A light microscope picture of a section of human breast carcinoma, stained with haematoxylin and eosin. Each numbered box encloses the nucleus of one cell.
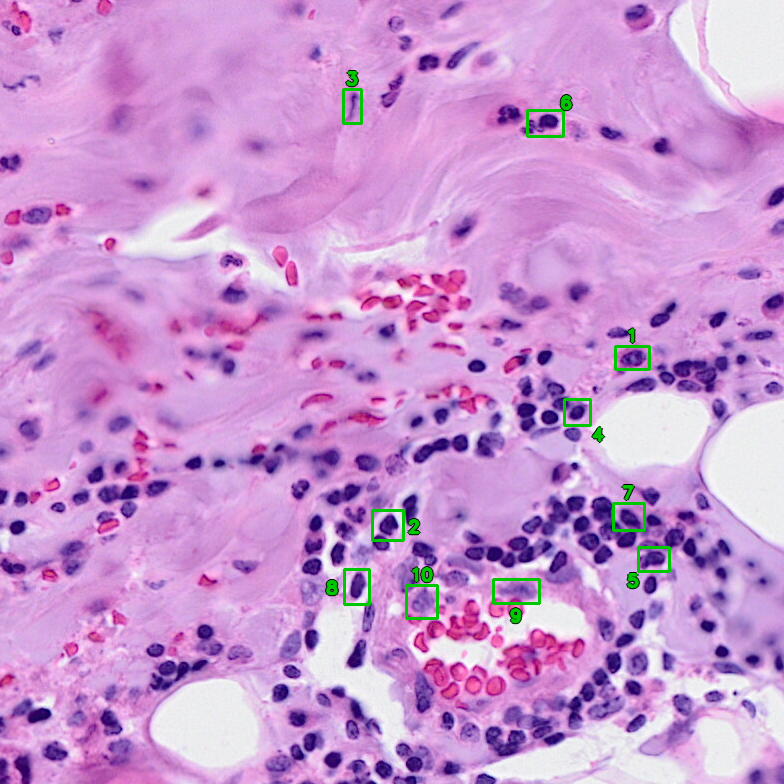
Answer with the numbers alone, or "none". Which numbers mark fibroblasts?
3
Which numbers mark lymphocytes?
2, 4, 5, 6, 7, 8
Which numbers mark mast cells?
1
